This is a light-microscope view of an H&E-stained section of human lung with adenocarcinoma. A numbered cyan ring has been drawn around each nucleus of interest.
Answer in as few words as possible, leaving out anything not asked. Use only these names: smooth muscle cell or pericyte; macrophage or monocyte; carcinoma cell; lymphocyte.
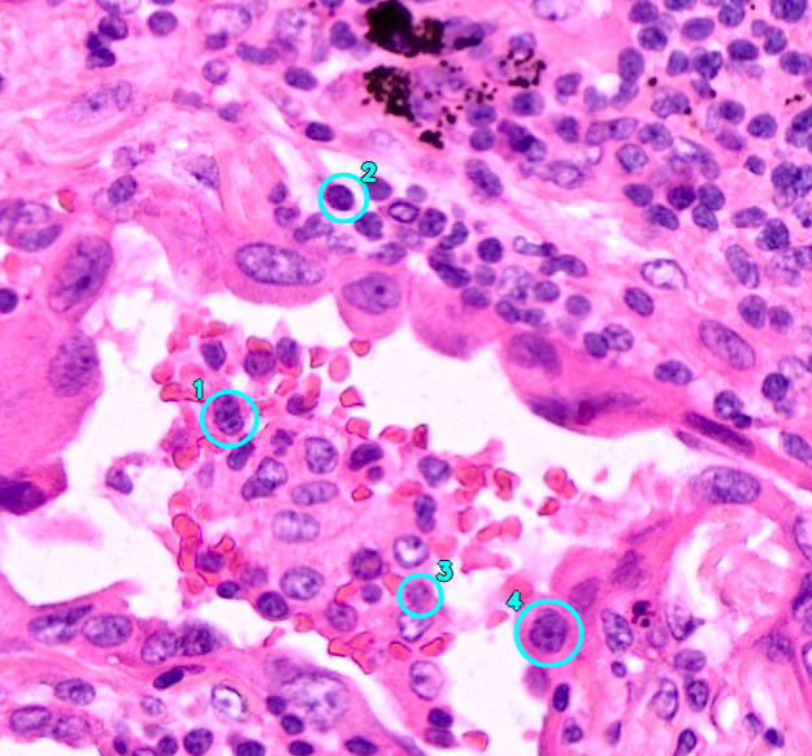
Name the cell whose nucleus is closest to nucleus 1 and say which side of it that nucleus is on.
a lymphocyte below and to the right of nucleus 1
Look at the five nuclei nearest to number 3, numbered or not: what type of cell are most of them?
macrophage or monocyte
